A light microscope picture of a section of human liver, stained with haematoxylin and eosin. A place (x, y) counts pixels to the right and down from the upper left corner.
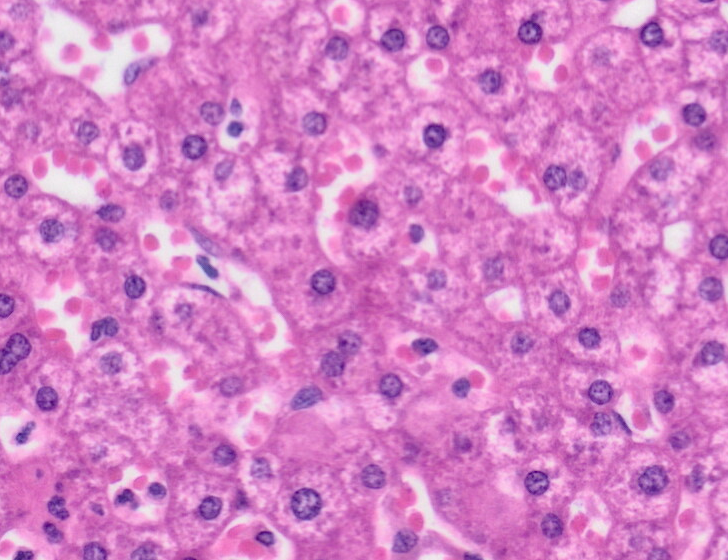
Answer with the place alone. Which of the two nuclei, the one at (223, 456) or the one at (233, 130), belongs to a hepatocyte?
(223, 456)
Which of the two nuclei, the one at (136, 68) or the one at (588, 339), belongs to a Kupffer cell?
(136, 68)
